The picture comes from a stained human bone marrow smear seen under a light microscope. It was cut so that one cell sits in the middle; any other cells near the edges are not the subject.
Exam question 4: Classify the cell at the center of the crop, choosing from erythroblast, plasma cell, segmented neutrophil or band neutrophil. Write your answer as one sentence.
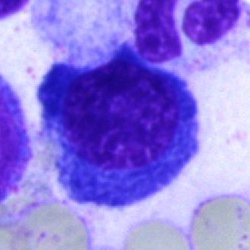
Centrally within this crop lies an erythroblast.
